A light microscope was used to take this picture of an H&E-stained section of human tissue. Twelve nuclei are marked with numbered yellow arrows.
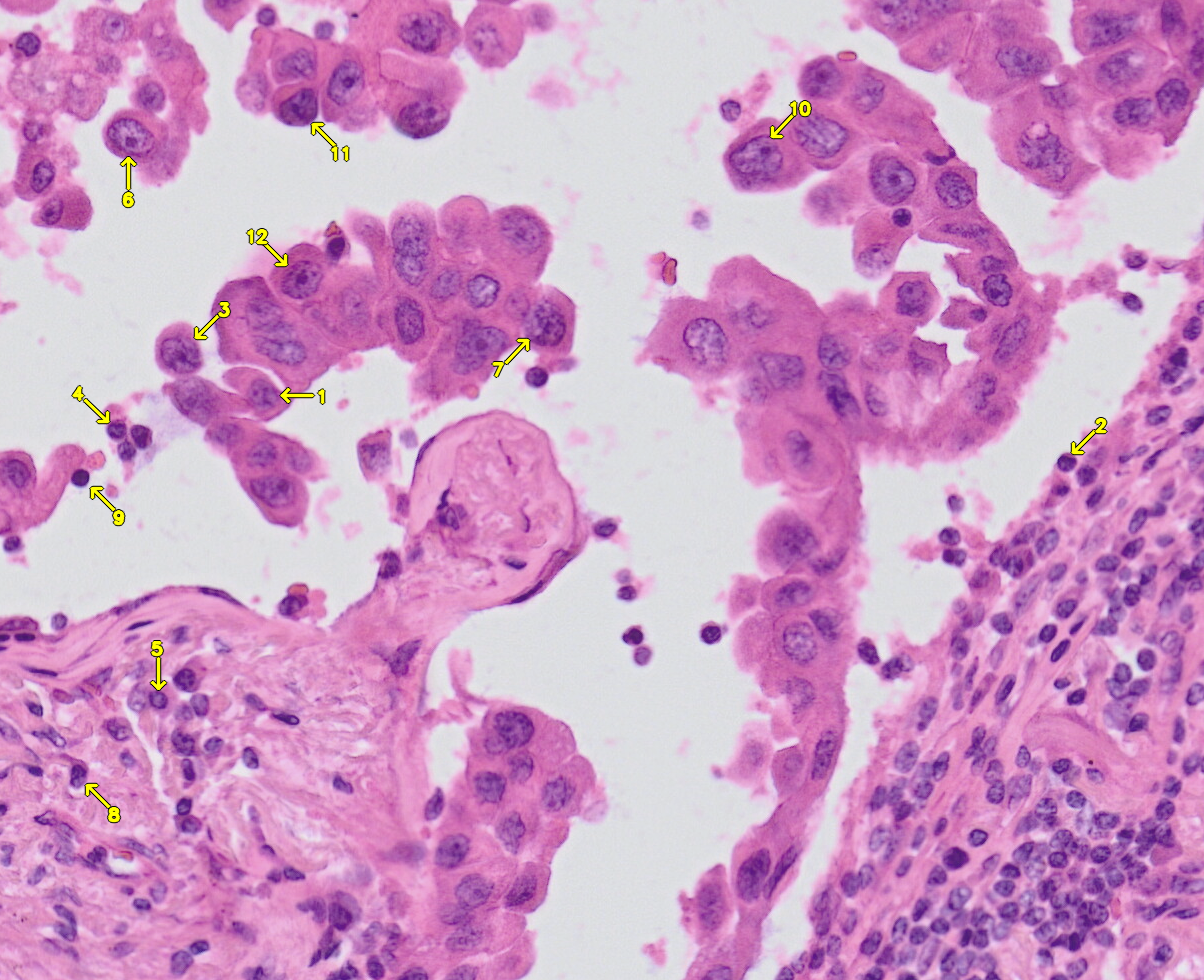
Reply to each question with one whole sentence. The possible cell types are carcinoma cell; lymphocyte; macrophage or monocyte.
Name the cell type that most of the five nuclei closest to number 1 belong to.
Most of the five nuclei nearest to number 1 are those of carcinoma cells.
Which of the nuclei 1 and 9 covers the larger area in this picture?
Nucleus 1 is larger, with an area about 2.5 times that of nucleus 9.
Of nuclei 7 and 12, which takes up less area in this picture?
The smaller nucleus is 12, and 7 covers roughly 1.5 times its area.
